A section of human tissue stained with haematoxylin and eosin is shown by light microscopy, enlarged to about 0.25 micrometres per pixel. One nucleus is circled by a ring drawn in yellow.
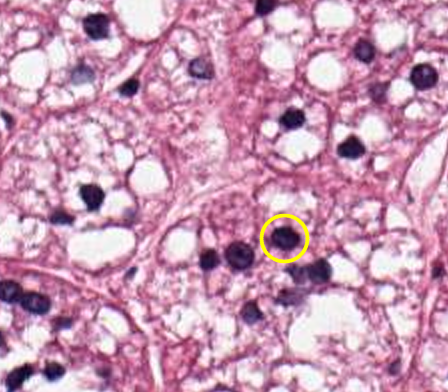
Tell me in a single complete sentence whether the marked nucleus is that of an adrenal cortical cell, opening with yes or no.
Yes, the marked nucleus is contained in an adrenal cortical cell.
